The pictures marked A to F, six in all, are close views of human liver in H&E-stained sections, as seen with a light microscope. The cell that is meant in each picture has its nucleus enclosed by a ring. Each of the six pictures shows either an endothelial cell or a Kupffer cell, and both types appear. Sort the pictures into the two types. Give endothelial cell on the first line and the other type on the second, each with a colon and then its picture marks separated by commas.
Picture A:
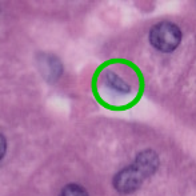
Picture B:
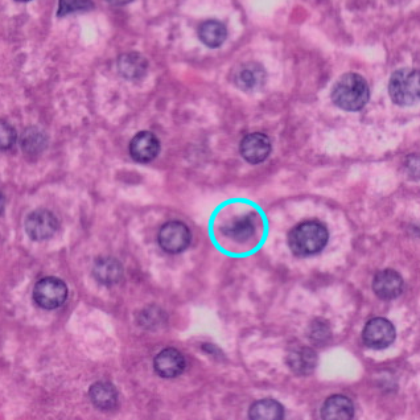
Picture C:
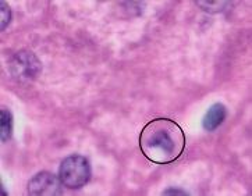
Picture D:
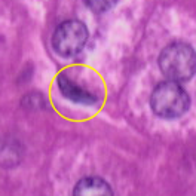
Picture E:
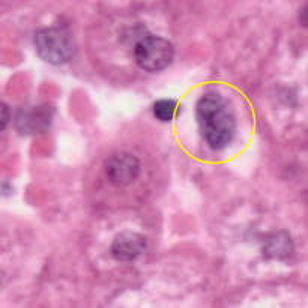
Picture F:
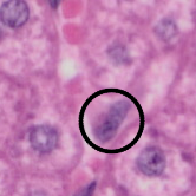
endothelial cell: A, B, C, D
Kupffer cell: E, F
